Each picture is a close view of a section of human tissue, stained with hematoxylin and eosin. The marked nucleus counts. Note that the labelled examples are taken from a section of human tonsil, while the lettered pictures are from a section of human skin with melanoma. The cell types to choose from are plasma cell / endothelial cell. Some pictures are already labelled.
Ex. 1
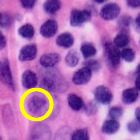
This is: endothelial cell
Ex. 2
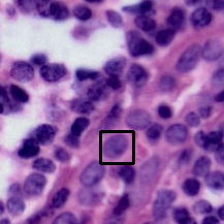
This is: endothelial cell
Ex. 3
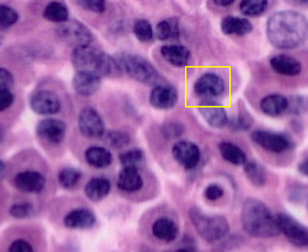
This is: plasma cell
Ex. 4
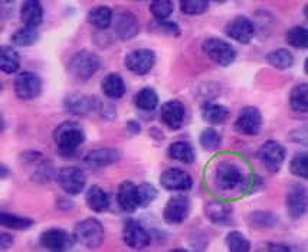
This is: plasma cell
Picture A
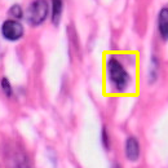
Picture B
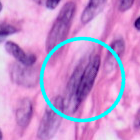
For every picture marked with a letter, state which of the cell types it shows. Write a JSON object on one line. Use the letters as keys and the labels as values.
{"A": "plasma cell", "B": "endothelial cell"}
